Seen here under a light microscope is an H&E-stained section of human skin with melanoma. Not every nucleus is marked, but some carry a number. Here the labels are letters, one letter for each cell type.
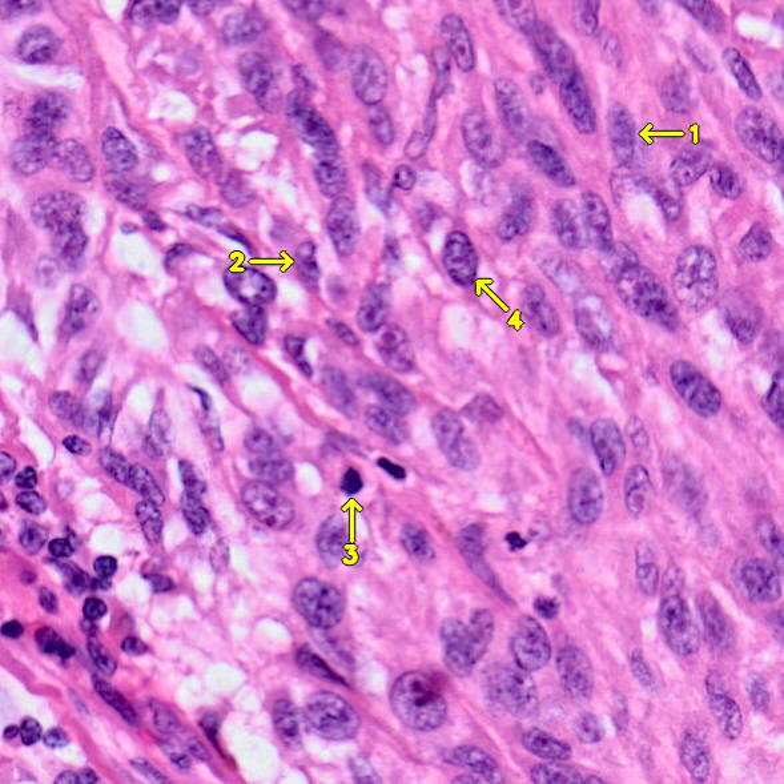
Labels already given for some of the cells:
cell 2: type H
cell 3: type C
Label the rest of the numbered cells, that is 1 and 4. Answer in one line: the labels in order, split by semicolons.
type H; type H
